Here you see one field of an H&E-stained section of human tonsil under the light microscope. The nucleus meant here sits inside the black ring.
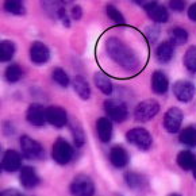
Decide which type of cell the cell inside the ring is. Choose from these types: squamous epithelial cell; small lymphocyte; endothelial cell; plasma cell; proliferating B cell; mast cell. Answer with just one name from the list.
endothelial cell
